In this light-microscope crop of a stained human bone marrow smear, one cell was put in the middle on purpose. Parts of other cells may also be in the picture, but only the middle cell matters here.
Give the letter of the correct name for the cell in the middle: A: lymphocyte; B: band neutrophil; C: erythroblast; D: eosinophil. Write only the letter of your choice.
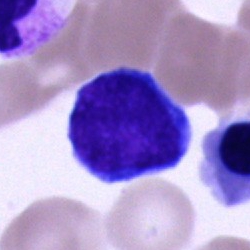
A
